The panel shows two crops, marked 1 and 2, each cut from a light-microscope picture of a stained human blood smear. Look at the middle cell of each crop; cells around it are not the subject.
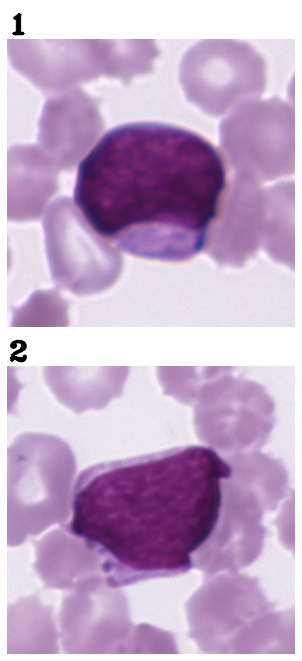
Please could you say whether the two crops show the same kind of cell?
yes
